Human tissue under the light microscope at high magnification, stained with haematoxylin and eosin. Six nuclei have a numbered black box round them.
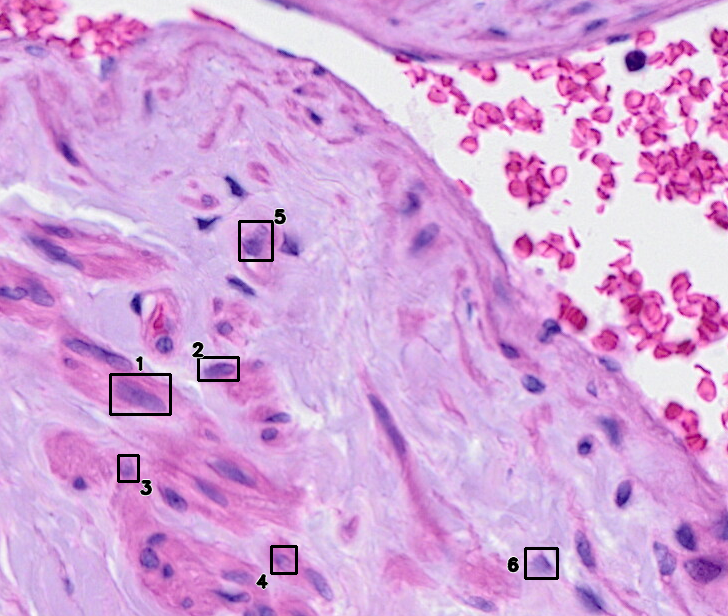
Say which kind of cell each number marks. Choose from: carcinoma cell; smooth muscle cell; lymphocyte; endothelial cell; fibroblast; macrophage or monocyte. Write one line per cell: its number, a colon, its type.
1: smooth muscle cell
2: smooth muscle cell
3: smooth muscle cell
4: smooth muscle cell
5: endothelial cell
6: fibroblast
